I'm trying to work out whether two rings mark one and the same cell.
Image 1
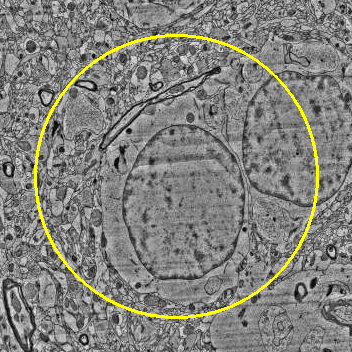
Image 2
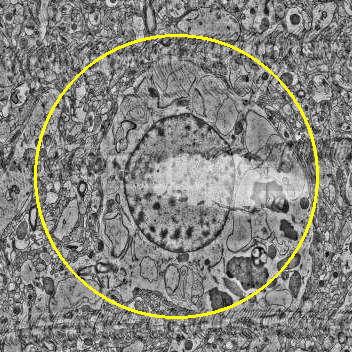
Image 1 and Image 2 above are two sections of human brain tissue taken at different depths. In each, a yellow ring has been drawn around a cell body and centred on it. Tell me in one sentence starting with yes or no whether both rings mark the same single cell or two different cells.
No, the two circled cells are distinct from one another.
